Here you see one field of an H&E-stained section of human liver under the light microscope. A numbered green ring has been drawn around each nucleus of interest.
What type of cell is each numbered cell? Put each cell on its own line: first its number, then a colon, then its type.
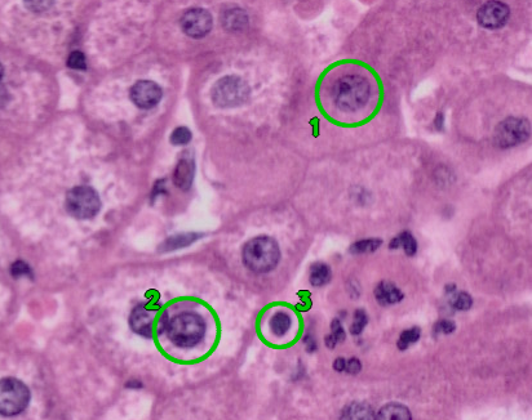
1: hepatocyte
2: hepatocyte
3: lymphocyte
